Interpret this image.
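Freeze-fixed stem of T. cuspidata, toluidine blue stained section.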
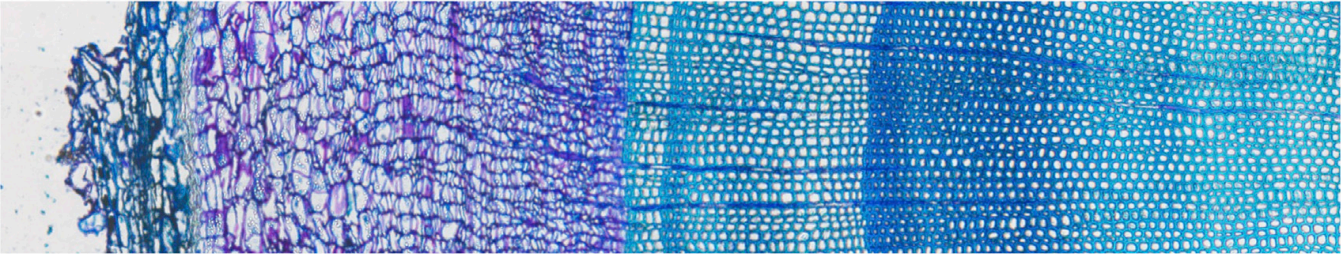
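This transverse section of a woody conifer stem runs from the outer bark on the left, through a purple-stained phloem and a narrow cambial zone, into turquoise-blue secondary xylem on the right. The outermost rhytidome is a ragged layer of collapsed, dark blue cells, followed by a very thin periderm. At the junction with the xylem lies a narrow band of small, thin-walled cells in radial files. The xylem is made of tracheids in regular radial rows with thick blue walls and empty lumens, crossed by thin dark radial rays, and includes a band of darker-staining, thicker-walled, smaller cells.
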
